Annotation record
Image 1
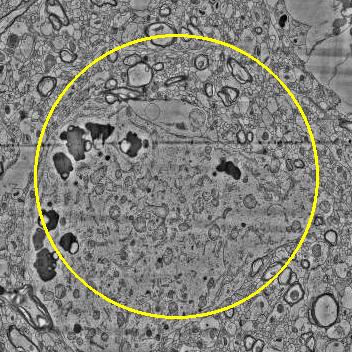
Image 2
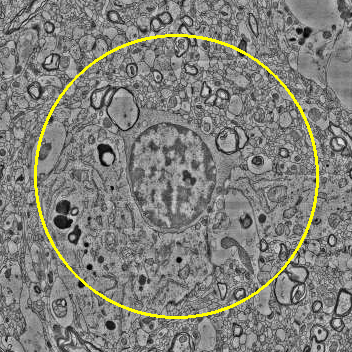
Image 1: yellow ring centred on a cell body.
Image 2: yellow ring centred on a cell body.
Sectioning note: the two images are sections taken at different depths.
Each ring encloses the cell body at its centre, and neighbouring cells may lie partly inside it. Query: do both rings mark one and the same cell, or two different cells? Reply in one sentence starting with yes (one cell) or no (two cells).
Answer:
Yes, the two rings refer to one cell in the tissue.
